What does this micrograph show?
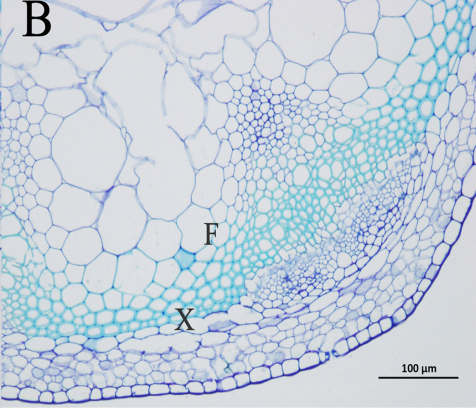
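Stem cross-section showing large, thin-walled, pale polygonal cells toward the centre, bordered by a band of smaller thick-walled cells whose walls stain turquoise. A bundle of very small, densely packed cells with violet walls sits within and outside this band. Toward the surface lie a few layers of thin-walled cortical cells and an outer single layer of rectangular epidermal cells with dark violet walls.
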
